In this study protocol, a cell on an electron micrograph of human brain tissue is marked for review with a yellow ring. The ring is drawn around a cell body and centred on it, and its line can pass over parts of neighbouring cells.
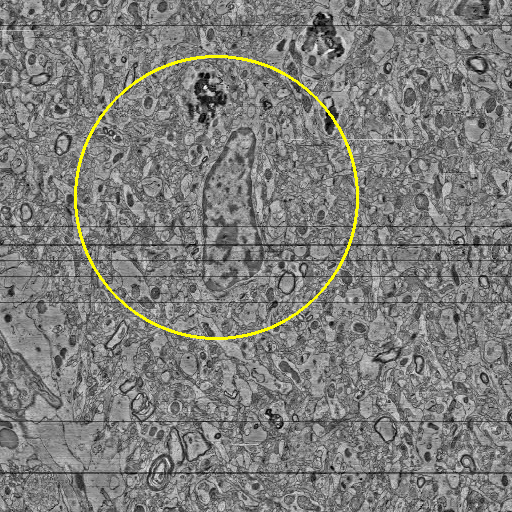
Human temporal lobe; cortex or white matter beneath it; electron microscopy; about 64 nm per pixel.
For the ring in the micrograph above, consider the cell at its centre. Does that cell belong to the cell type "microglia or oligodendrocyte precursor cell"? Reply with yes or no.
yes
